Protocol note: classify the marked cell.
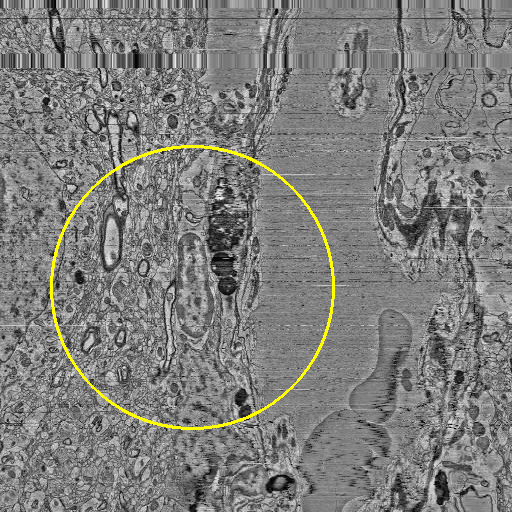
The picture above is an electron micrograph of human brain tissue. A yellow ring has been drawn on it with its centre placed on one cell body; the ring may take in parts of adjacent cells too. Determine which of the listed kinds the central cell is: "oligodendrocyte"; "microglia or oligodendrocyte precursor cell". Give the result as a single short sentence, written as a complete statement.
The central cell is a microglial cell or oligodendrocyte precursor cell.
